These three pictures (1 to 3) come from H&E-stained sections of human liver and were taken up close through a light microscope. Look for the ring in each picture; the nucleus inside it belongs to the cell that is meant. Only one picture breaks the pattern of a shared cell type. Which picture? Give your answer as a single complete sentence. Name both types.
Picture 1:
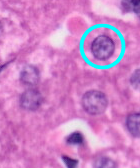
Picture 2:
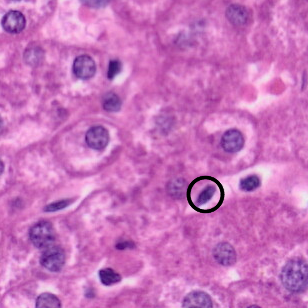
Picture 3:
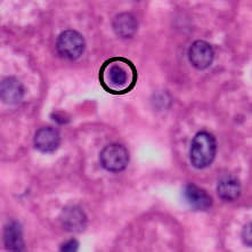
All pictures except 1 show lymphocytes; picture 1 shows a hepatocyte.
